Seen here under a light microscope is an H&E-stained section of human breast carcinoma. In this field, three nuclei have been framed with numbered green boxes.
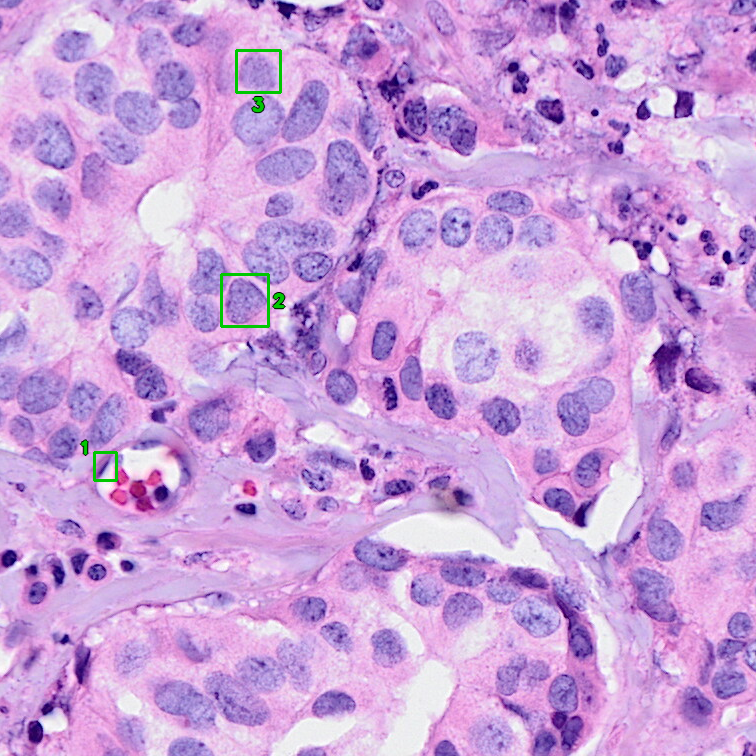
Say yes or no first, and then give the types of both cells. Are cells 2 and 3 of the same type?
Yes, cell number 2 and cell number 3 are both carcinoma cells.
